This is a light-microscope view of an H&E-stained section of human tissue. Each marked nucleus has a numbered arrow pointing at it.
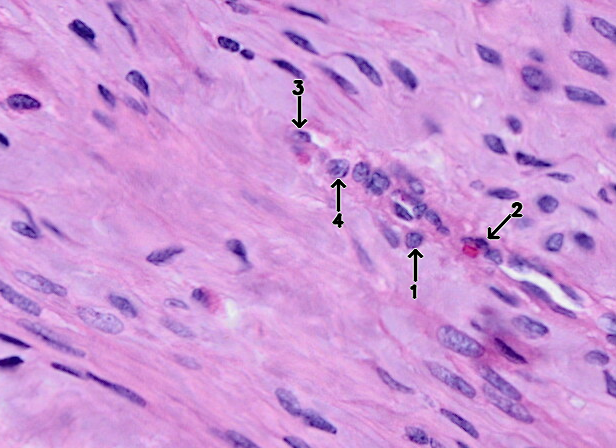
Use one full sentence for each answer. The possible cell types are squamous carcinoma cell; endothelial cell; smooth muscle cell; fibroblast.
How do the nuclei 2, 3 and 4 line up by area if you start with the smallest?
The order from the smallest nucleus to the largest is 2, 3, 4.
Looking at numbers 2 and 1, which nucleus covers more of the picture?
Of the two, number 1 is bigger and takes up about 1.5 times the area of number 2.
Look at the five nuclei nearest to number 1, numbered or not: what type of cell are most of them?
Most of the five nuclei nearest to number 1 are those of endothelial cells.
